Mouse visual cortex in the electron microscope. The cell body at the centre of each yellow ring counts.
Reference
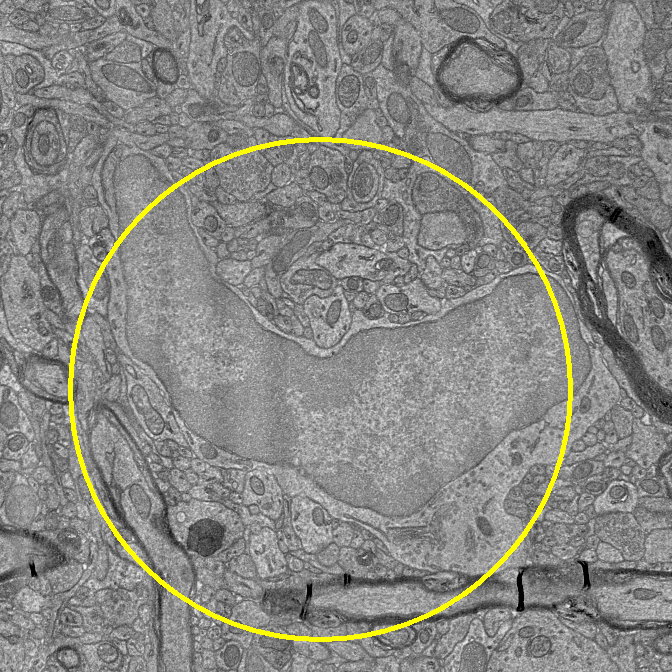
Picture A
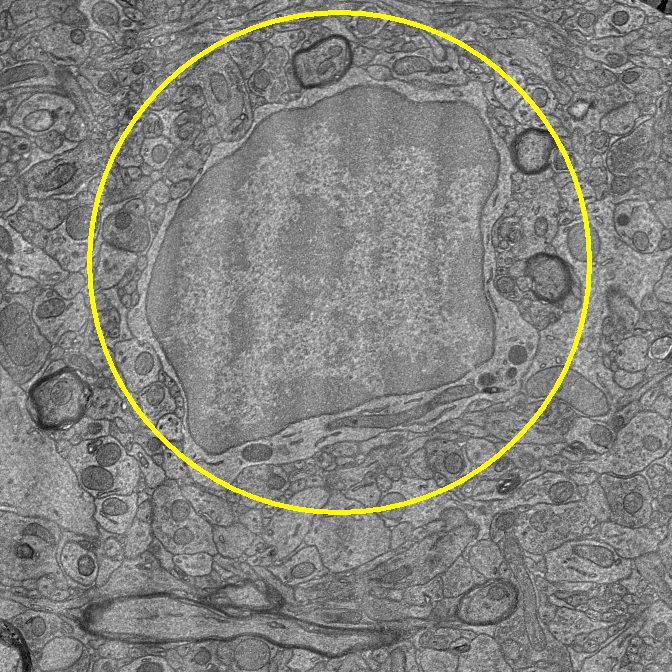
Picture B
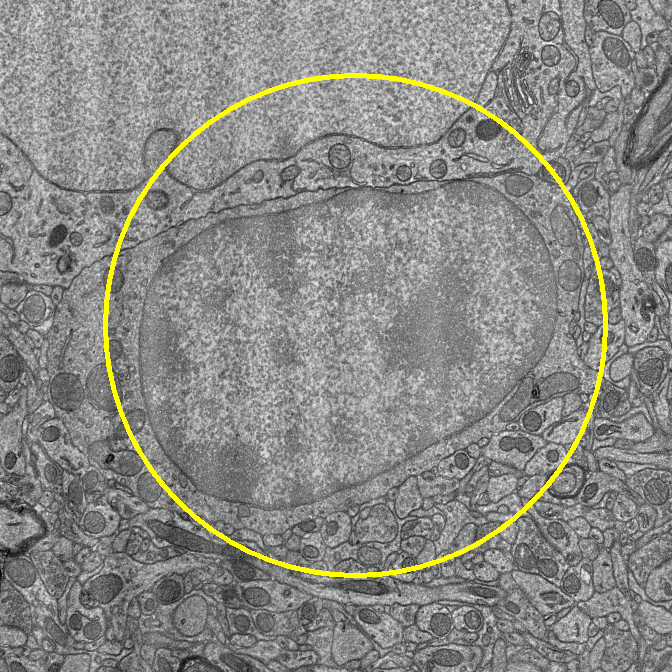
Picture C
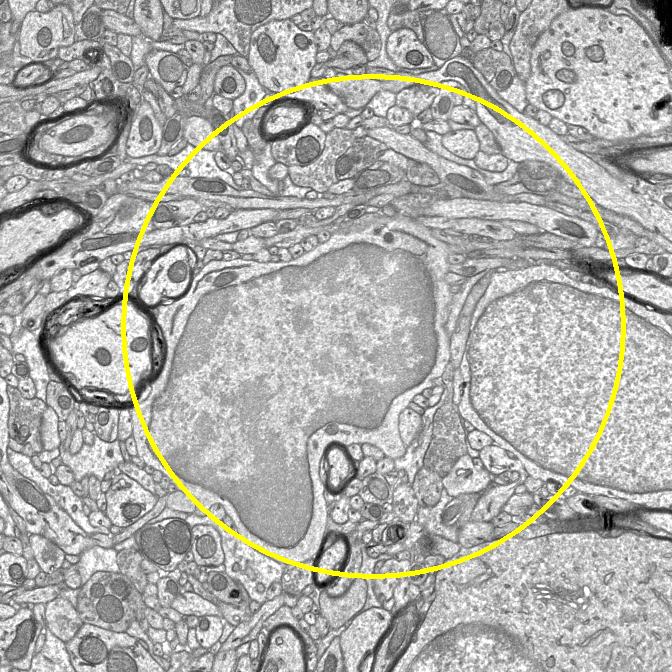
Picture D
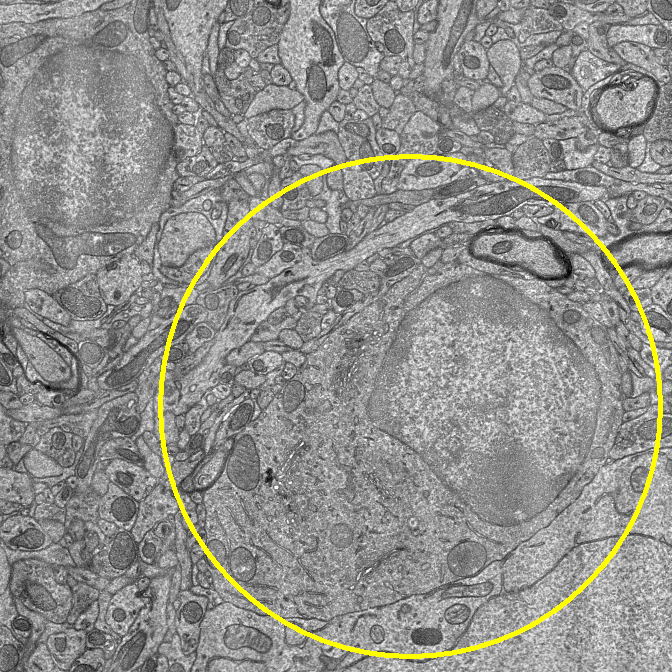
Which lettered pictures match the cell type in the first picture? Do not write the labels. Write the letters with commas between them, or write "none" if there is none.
A, C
